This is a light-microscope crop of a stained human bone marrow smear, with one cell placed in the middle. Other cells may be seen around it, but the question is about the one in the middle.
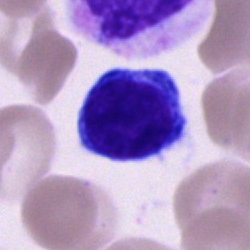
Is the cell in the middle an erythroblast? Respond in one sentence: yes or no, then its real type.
No, the cell in the centre of the crop is a lymphocyte as opposed to an erythroblast.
